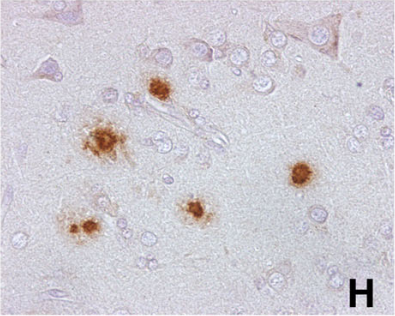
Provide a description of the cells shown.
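Cerebral cortical neuropil with scattered compact, rounded brown deposits of varying size lying between pale blue neuronal and glial nuclei. Some deposits have a dense core with a fainter granular rim, and a few pyramidal-shaped neurons are seen nearby unstained.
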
